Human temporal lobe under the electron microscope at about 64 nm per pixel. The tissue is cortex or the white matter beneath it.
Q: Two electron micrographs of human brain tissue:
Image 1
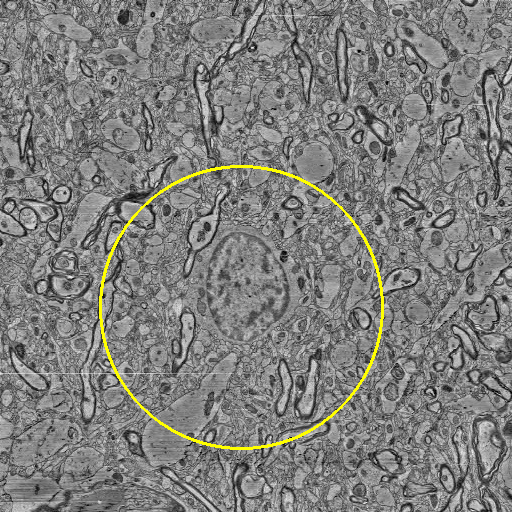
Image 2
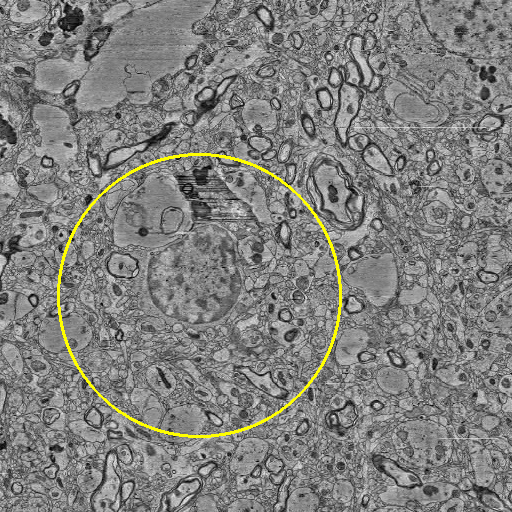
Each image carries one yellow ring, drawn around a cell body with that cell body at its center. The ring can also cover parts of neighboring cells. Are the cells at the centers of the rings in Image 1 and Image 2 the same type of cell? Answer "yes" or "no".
yes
